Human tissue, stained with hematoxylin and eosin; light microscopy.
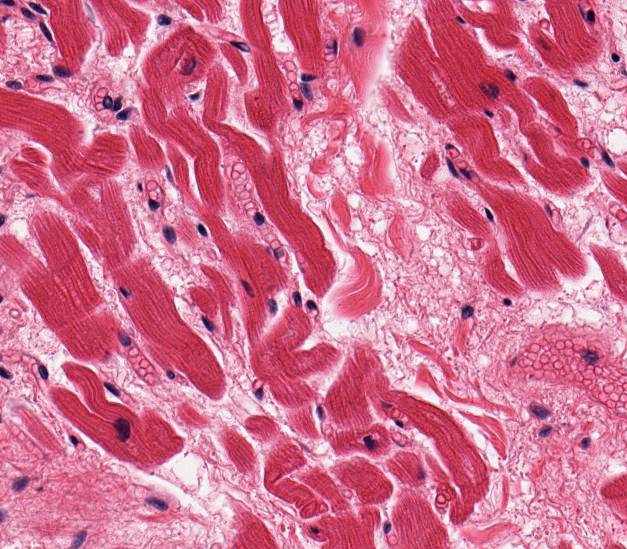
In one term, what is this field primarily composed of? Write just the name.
myocardium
